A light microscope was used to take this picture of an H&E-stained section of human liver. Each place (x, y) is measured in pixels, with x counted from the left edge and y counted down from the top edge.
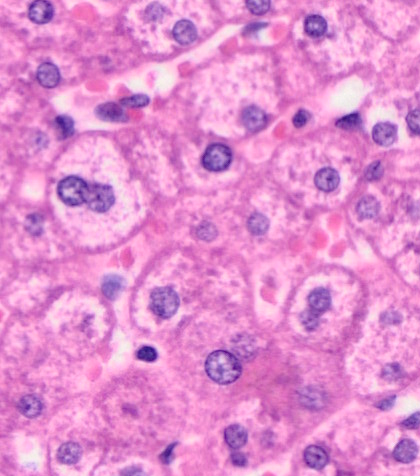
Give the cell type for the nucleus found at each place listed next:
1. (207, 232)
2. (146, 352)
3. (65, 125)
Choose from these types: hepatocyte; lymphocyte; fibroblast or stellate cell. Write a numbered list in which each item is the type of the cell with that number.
1. hepatocyte
2. lymphocyte
3. fibroblast or stellate cell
